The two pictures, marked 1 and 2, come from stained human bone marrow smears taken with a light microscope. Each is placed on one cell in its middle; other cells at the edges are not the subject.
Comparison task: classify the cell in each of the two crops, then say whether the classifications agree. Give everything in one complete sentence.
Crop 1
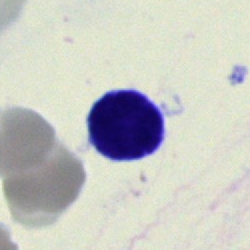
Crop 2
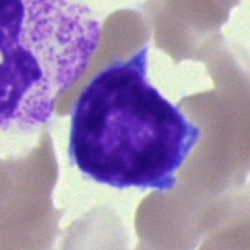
Yes, the centre of both crops is taken up by lymphocytes.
